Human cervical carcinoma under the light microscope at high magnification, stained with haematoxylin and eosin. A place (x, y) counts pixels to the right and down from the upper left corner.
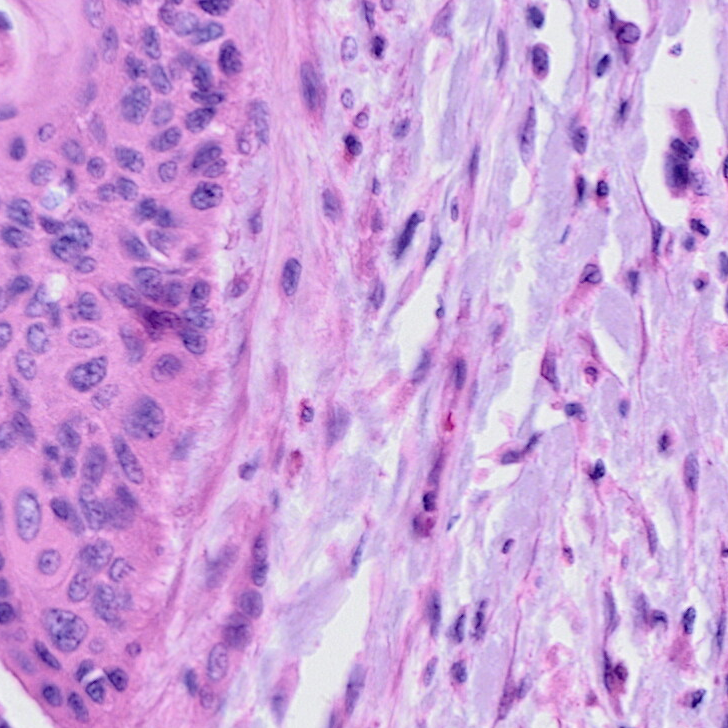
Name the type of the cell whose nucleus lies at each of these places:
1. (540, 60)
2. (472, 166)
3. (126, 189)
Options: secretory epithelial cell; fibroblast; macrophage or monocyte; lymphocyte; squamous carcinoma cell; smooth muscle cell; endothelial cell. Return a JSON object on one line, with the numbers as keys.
{"1": "macrophage or monocyte", "2": "fibroblast", "3": "squamous carcinoma cell"}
